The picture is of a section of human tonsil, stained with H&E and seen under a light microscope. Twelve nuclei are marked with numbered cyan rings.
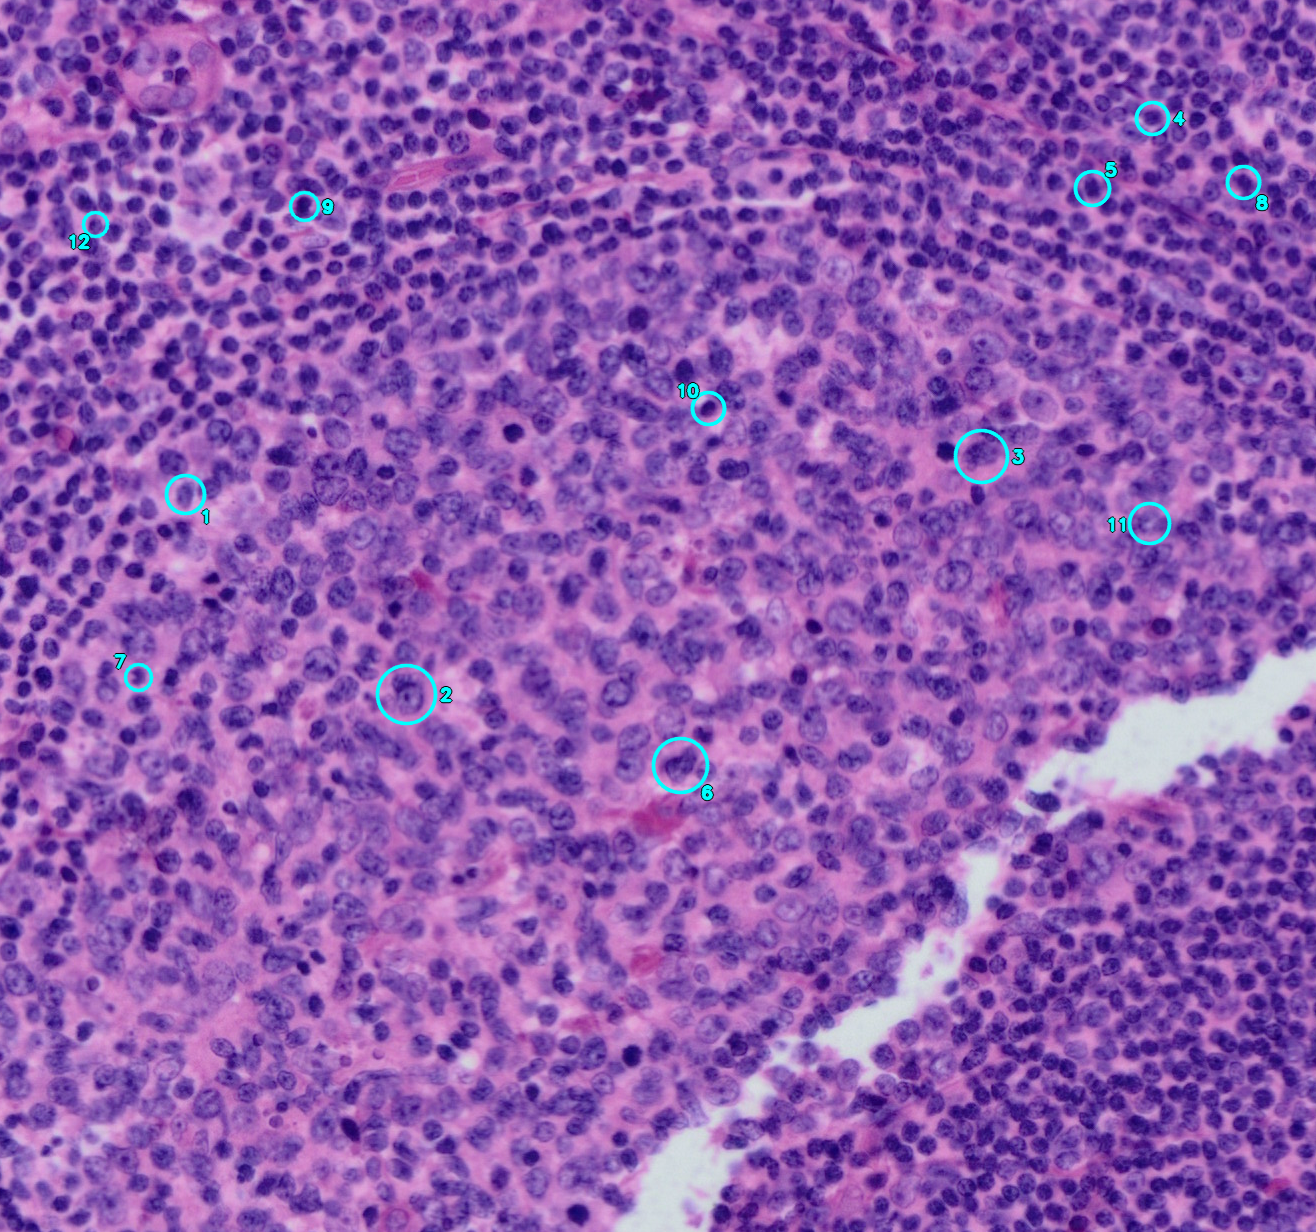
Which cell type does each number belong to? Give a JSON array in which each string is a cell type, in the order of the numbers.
["proliferating B cell", "proliferating B cell", "proliferating B cell", "small lymphocyte", "small lymphocyte", "proliferating B cell", "proliferating B cell", "small lymphocyte", "small lymphocyte", "proliferating B cell", "proliferating B cell", "small lymphocyte"]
